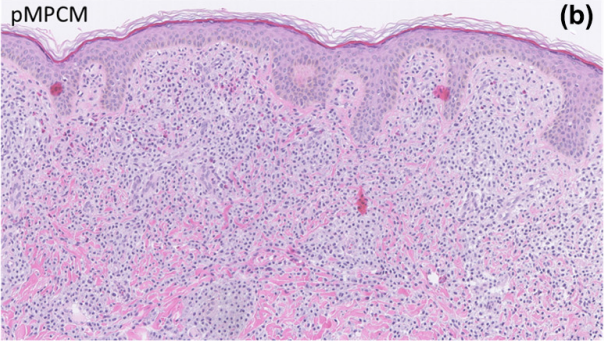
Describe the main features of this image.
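Skin with a stratified squamous epidermis and elongated rete ridges overlies a dermis crowded with a dense infiltrate of mast cells. The cells, with round to oval nuclei and pale pink cytoplasm, pack the dermal papillae up to the epidermis and continue downward as sheets among pink collagen bundles of the reticular dermis.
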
